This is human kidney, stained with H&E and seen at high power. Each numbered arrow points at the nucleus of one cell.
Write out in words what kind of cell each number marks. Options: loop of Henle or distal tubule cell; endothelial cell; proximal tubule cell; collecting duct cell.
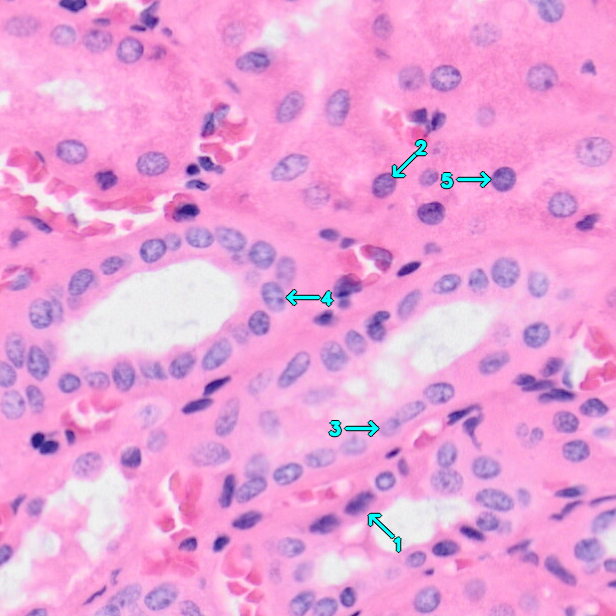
Cell 1 is a collecting duct cell, cell 2 is a proximal tubule cell, cell 3 is a collecting duct cell, cell 4 is a collecting duct cell and cell 5 is a proximal tubule cell.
